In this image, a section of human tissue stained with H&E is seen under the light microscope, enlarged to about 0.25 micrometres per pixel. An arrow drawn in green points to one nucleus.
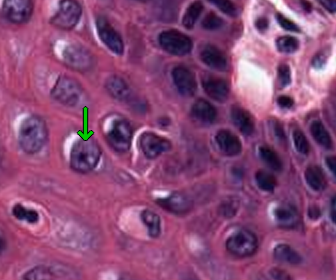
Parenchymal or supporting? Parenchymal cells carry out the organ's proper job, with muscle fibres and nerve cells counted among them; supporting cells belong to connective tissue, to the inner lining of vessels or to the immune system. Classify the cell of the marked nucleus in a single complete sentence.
The marked nucleus is held by a parenchymal cell, namely a squamous epithelial cell.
